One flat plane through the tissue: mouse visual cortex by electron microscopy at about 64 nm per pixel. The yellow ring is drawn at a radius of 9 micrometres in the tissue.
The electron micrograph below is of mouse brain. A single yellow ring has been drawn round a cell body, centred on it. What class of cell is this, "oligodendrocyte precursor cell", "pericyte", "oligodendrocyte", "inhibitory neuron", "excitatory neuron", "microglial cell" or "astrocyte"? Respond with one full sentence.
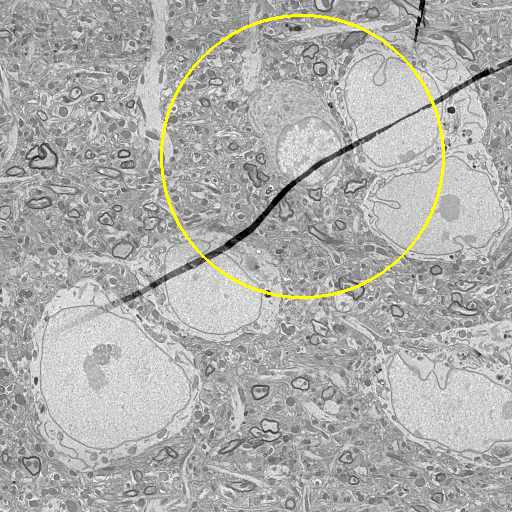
In the micrograph, the cell centred inside the yellow ring is an oligodendrocyte.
